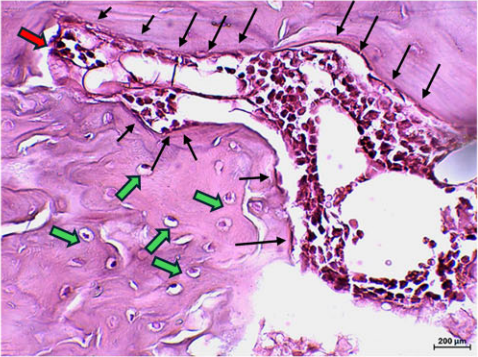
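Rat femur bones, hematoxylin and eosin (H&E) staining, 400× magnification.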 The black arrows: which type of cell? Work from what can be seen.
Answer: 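The black arrows point to cells lining the bone surfaces along the marrow channels. These cells form a row along the edge of the bone matrix.
Hence: osteoblasts.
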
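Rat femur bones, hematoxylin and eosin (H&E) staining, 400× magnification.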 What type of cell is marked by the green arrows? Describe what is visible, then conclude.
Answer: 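The green arrows point to small cells sitting in lacunae embedded within the pink bone matrix.
Conclusion: osteocytes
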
